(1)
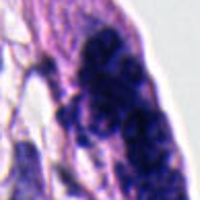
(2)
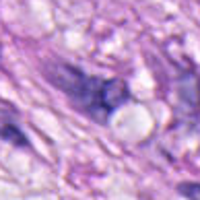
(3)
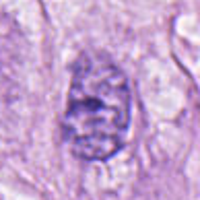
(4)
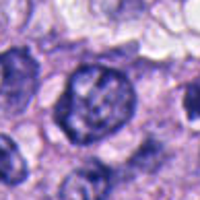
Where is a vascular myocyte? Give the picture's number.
2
